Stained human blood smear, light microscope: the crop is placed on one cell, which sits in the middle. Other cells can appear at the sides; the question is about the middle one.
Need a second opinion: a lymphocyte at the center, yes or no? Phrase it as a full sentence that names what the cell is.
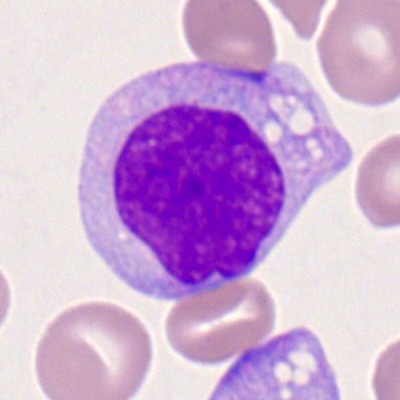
No, mark the middle cell as a monocyte, not a lymphocyte.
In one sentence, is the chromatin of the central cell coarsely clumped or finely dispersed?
The chromatin is delicate and fine, lacking coarse clumping entirely.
